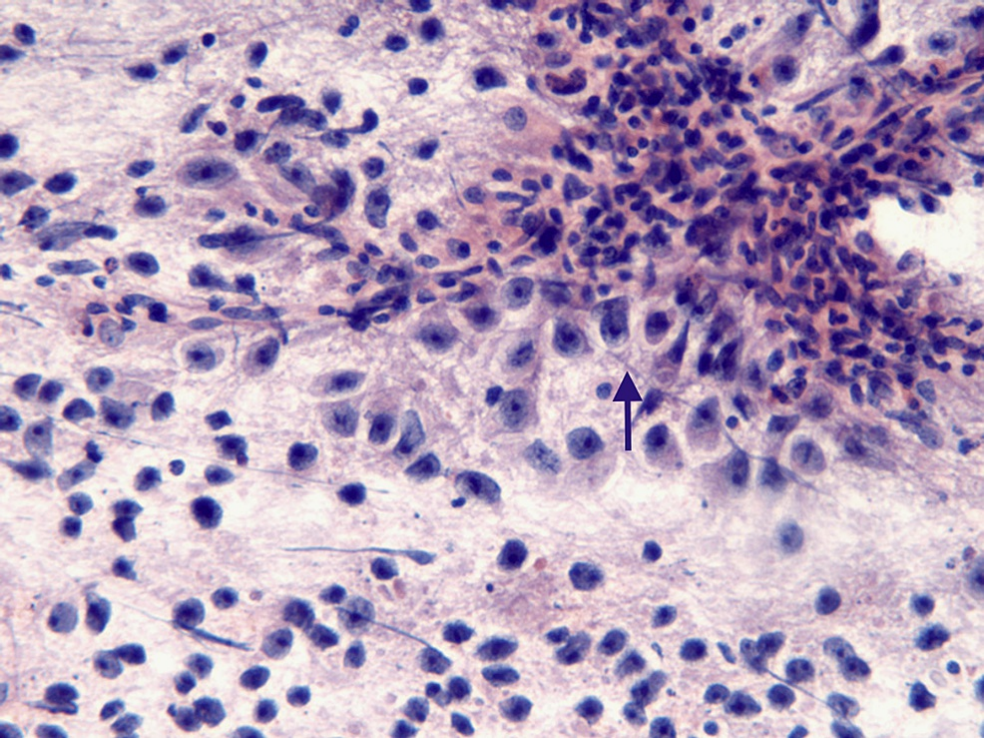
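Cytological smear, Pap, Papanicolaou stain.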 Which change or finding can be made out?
Stromal fragments infiltrated with plenty of lymphocytes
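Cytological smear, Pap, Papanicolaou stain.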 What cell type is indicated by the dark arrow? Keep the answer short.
polygonal cells with vesicular nuclei and prominent nucleoli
